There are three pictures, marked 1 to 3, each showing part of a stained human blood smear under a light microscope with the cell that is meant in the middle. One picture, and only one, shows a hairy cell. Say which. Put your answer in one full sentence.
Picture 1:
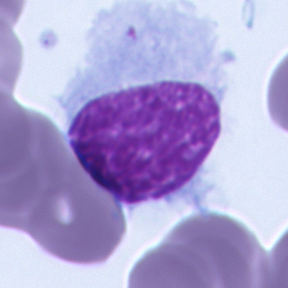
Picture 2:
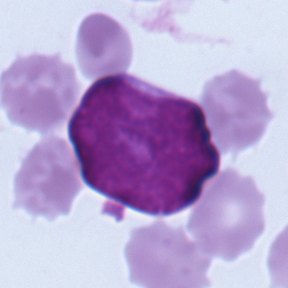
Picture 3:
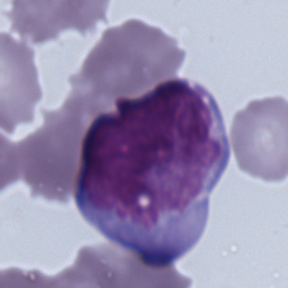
The cell in picture 1 is the hairy cell.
